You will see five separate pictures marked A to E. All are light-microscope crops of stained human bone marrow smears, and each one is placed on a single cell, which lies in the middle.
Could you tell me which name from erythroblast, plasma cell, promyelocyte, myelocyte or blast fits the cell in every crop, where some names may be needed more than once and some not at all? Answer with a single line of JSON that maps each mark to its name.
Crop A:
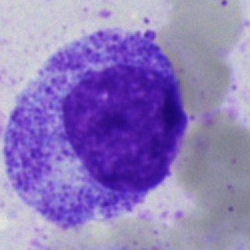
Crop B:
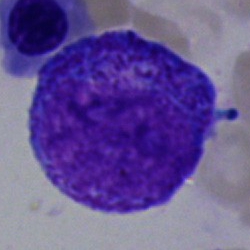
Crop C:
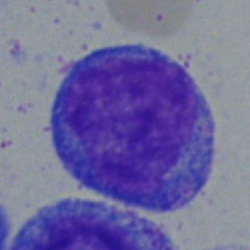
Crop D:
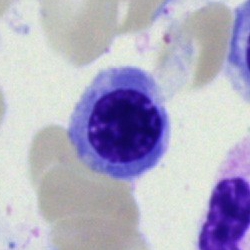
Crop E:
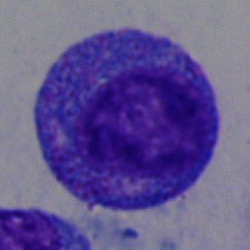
{"A": "myelocyte", "B": "promyelocyte", "C": "blast", "D": "erythroblast", "E": "promyelocyte"}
